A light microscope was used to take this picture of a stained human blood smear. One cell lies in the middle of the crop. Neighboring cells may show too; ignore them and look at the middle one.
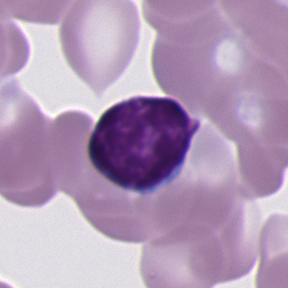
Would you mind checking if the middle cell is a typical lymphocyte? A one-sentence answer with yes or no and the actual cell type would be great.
Yes, in the centre of this field sits a typical lymphocyte.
